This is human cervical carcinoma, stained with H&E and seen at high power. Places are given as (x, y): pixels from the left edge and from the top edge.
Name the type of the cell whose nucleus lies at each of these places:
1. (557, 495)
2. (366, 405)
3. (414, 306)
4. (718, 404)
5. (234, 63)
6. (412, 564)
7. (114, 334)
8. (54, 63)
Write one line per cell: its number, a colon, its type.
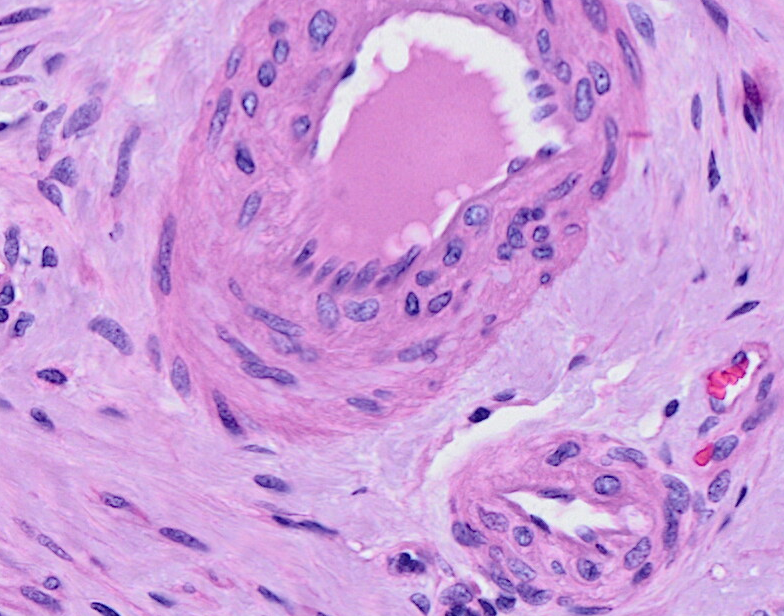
1: endothelial cell
2: smooth muscle cell
3: smooth muscle cell
4: endothelial cell
5: smooth muscle cell
6: endothelial cell
7: fibroblast
8: fibroblast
